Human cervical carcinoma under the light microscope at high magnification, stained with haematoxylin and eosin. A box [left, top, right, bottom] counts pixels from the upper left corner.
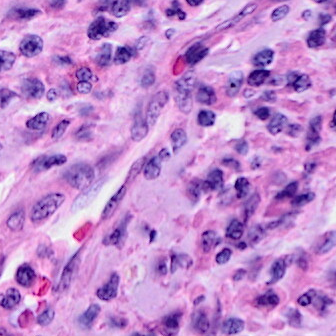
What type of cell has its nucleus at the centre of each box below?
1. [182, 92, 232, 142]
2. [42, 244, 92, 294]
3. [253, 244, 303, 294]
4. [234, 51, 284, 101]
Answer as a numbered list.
1. lymphocyte
2. endothelial cell
3. lymphocyte
4. lymphocyte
